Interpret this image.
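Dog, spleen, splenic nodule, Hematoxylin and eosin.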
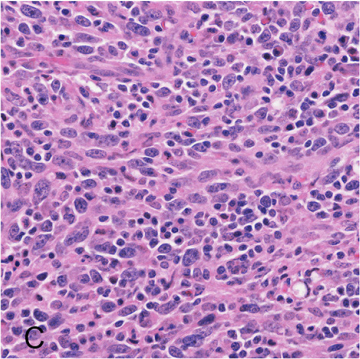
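The spindle cells have elongated to oval nuclei that vary in size and shape and run in loose streams with pink cytoplasm. Between and along these streams lie clusters of round cells with eccentric, round, dark nuclei and a rim of purple-pink cytoplasm. Some larger cells show paler, vesicular nuclei with small nucleoli. The cells are densely packed with little intervening matrix.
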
